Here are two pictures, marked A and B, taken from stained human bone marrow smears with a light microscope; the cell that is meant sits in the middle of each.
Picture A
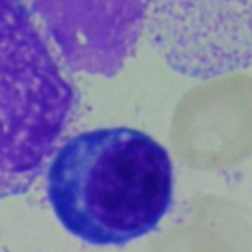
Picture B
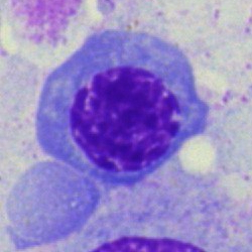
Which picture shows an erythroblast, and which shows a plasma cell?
A: plasma cell
B: erythroblast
